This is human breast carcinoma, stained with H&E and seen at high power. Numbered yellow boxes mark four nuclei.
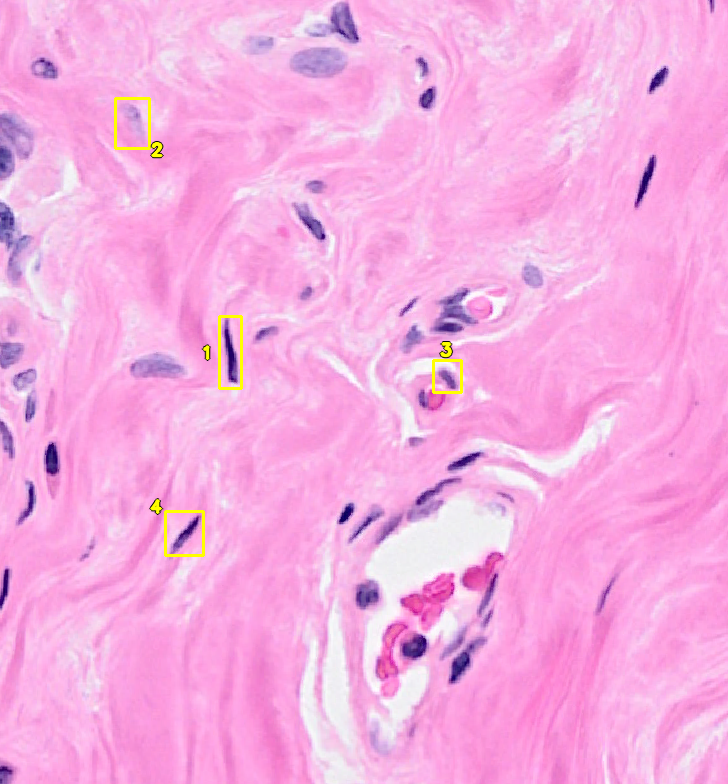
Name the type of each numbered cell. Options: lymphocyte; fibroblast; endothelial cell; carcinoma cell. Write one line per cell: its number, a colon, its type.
1: fibroblast
2: fibroblast
3: endothelial cell
4: fibroblast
